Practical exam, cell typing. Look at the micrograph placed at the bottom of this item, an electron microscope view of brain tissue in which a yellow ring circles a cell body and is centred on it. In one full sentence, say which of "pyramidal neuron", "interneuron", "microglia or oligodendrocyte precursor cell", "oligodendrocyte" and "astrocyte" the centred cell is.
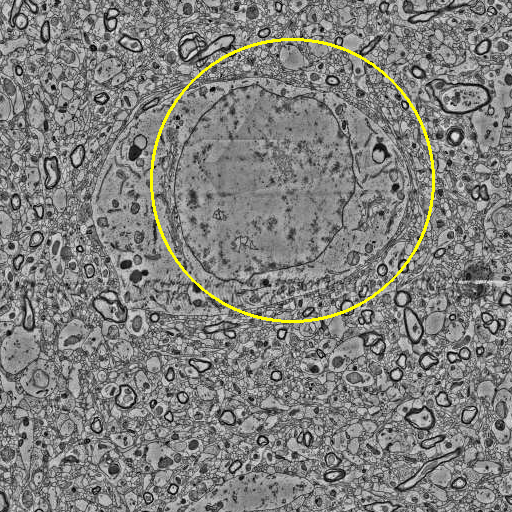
Given the options, a pyramidal neuron fits the cell whose body the yellow ring is centred on.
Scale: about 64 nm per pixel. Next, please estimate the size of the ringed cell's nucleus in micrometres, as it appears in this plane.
Approximately 13 micrometers across in this plane.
